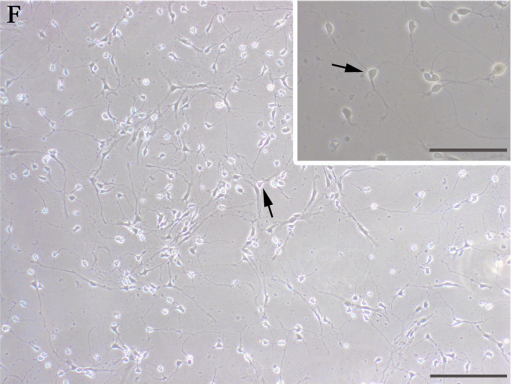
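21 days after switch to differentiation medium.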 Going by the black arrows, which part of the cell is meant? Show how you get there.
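Pyramidal somata. The marked cell bodies are small, bright and triangular. Thin processes leave the corners of the cell bodies.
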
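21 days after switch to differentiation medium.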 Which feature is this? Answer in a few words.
neural networks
